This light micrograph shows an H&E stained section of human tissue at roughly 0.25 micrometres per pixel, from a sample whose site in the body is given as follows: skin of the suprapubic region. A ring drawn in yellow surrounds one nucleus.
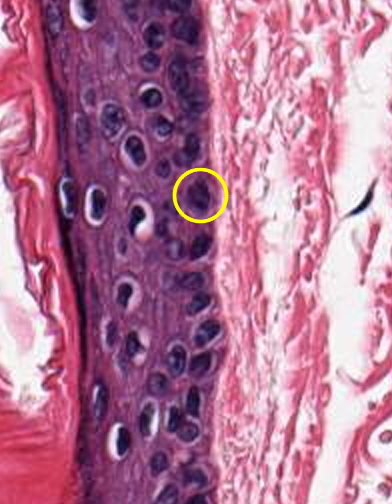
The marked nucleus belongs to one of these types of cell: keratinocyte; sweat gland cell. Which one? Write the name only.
keratinocyte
